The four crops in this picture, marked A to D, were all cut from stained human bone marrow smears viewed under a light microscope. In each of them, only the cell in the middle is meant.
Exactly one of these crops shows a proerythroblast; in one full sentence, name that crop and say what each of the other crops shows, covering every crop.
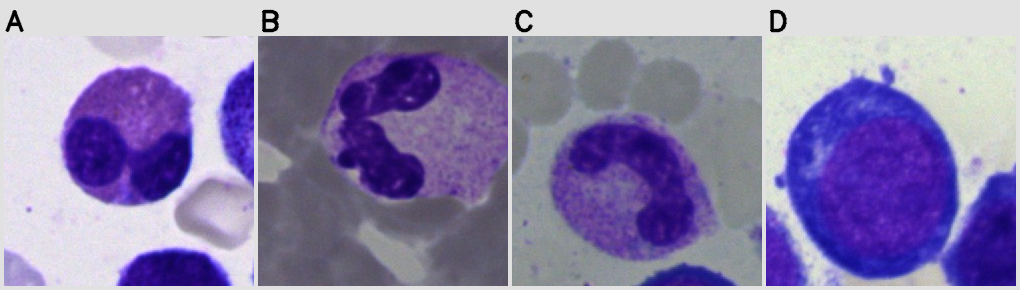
The cell shown in crop D is a proerythroblast, whereas crop A is an eosinophil, crop B is a segmented neutrophil and crop C is a band neutrophil.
